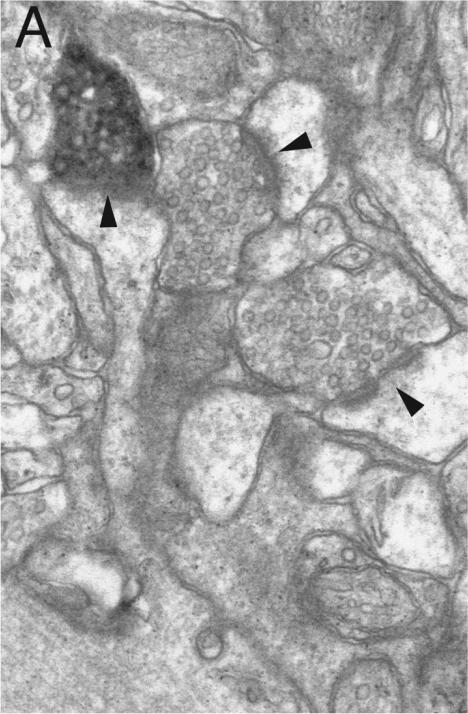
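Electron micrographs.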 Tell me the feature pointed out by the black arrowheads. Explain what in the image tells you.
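Each arrowhead points to a contact between a vesicle-filled profile and a neighbouring profile. A dense thickening of the membrane lies at each marked contact.
Answer: synapses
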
